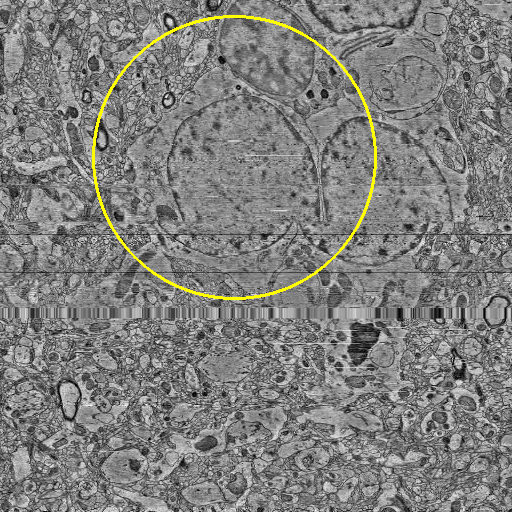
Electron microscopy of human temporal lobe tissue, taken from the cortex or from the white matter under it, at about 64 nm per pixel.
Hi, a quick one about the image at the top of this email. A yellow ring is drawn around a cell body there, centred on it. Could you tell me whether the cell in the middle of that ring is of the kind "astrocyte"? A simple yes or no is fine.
yes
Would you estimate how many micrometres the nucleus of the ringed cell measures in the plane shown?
Approximately 10 micrometers across in this plane.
